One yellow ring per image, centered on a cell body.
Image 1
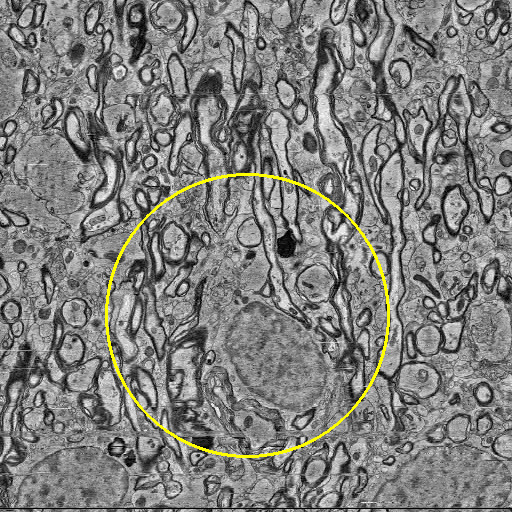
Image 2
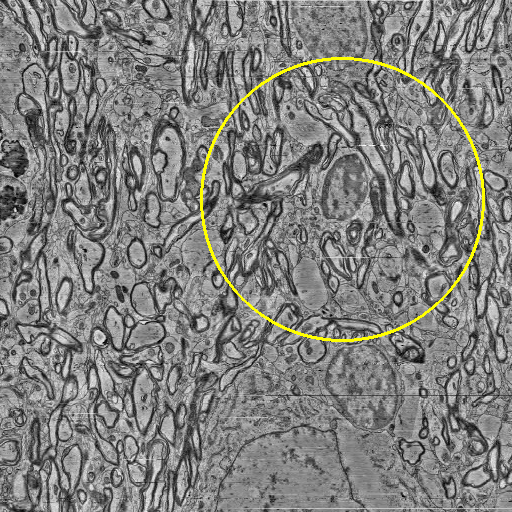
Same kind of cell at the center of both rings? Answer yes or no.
no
